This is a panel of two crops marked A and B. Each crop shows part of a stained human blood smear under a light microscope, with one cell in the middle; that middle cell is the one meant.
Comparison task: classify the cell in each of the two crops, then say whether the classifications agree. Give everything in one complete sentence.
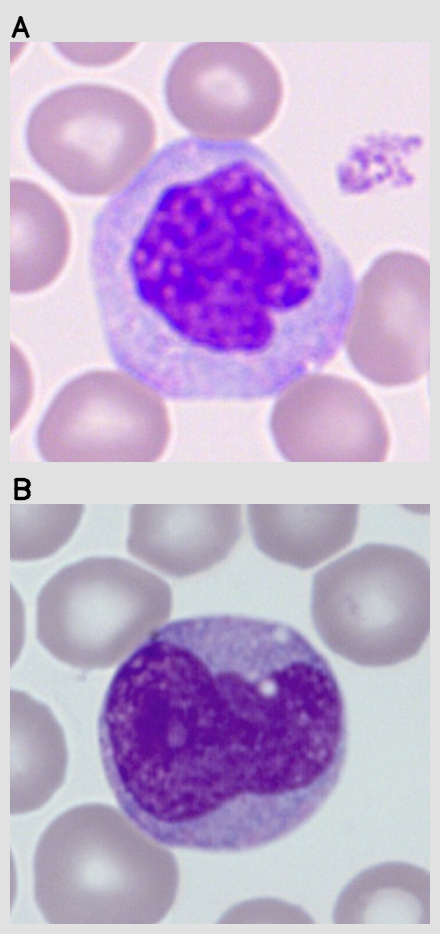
Yes, it is monocytes that occupy the middle of both crops.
